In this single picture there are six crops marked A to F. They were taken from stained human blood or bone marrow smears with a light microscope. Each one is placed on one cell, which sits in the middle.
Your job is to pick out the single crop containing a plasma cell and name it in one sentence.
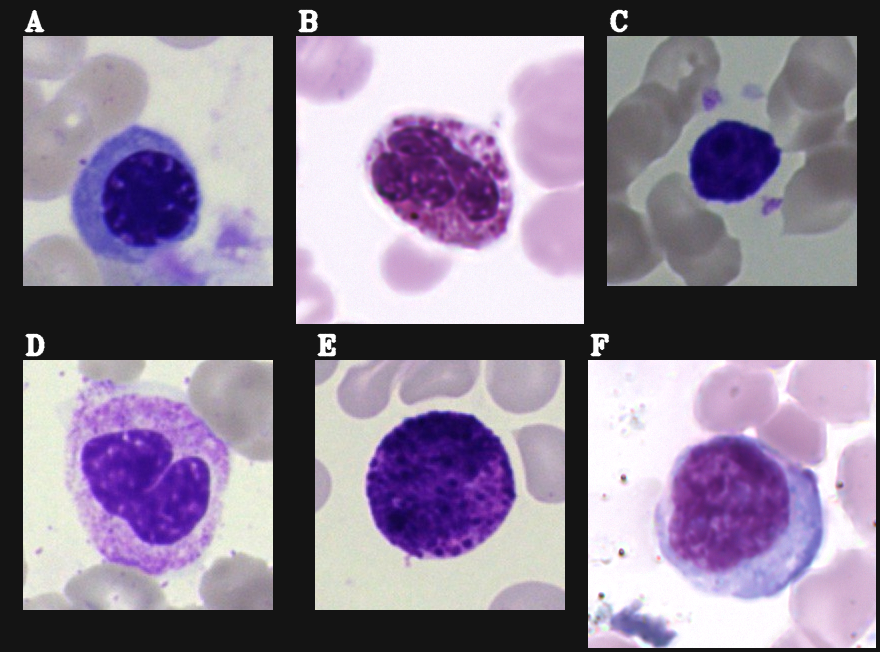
The crop that has a plasma cell in the middle is crop F.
